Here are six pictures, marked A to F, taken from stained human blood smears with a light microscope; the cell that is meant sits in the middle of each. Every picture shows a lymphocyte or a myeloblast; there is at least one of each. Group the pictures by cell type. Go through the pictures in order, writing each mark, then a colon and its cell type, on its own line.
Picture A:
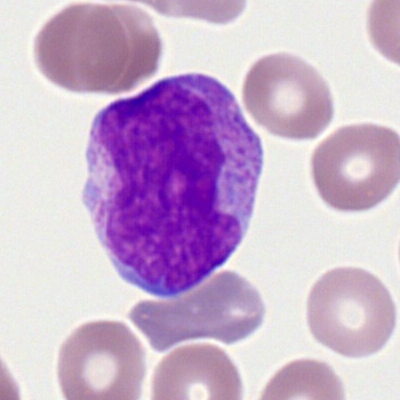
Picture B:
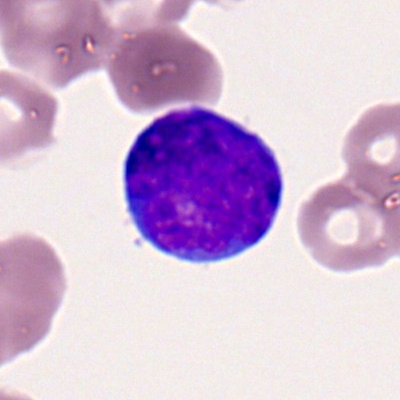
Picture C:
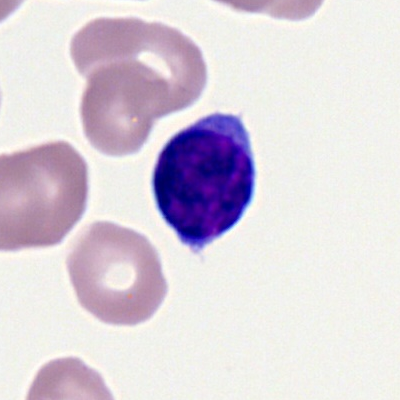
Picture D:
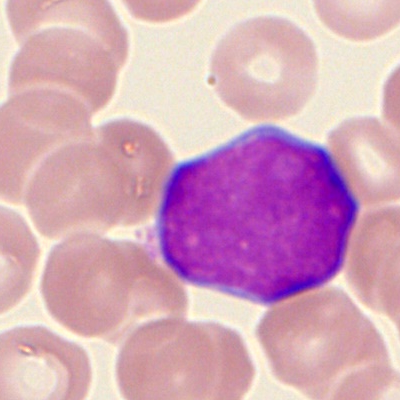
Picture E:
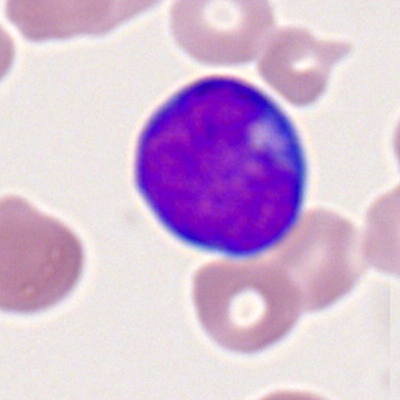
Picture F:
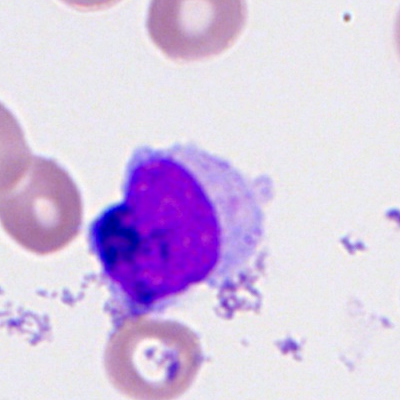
A: myeloblast
B: myeloblast
C: lymphocyte
D: myeloblast
E: myeloblast
F: lymphocyte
